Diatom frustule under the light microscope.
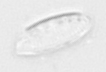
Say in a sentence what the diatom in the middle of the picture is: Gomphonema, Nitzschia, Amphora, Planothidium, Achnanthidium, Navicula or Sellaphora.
This is Nitzschia.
